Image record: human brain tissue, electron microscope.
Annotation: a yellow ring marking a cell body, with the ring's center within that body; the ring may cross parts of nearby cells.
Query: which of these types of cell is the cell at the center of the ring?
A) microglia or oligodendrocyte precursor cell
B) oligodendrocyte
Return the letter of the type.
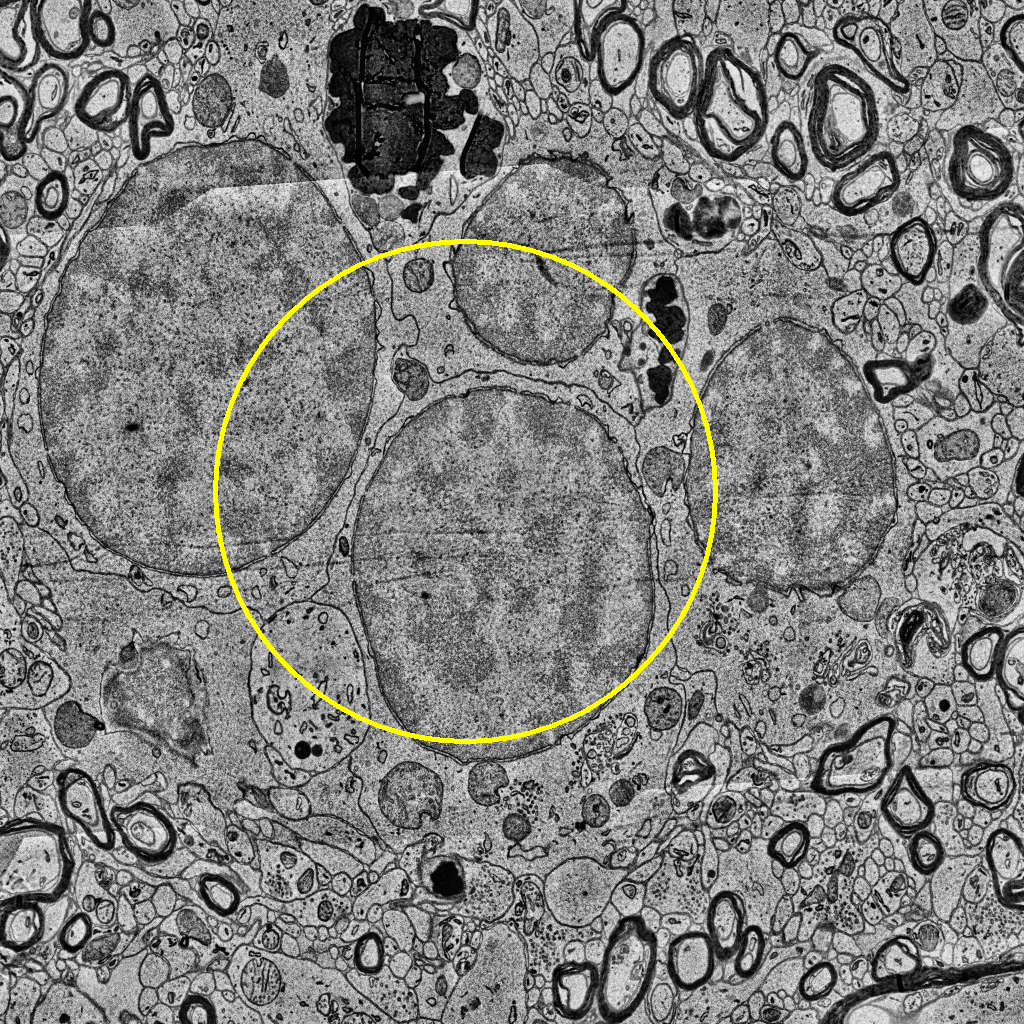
B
